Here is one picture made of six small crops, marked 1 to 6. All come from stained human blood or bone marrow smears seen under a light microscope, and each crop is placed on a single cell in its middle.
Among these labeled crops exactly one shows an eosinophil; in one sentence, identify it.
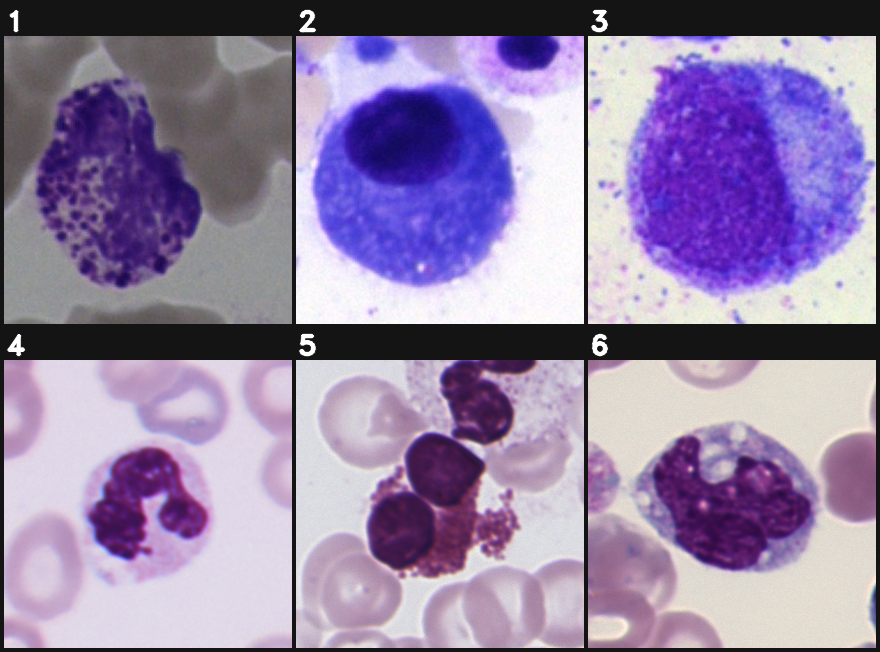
So the crop with an eosinophil at its center is crop 5.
